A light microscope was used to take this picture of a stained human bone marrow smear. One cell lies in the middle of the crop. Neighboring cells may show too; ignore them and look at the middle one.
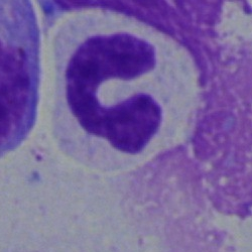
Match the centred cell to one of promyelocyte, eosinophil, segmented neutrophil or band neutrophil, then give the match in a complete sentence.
The cell at the centre of the field is a segmented neutrophil.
